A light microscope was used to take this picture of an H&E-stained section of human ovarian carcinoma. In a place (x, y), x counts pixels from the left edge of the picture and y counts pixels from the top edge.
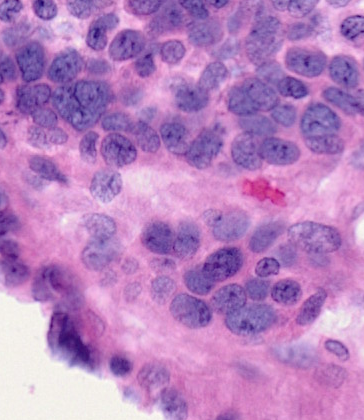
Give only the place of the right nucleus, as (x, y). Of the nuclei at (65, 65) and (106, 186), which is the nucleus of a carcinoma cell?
(65, 65)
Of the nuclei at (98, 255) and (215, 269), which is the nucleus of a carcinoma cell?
(215, 269)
